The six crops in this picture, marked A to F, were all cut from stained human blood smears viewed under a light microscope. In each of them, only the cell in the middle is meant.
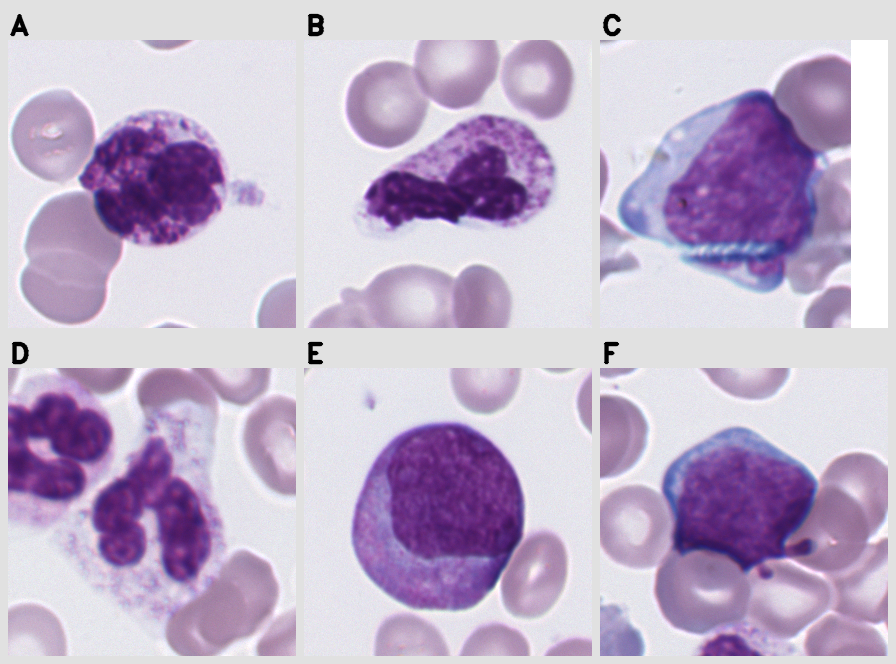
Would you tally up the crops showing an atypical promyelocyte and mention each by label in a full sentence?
Among these crops, an atypical promyelocyte is the central cell of only one, crop E.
